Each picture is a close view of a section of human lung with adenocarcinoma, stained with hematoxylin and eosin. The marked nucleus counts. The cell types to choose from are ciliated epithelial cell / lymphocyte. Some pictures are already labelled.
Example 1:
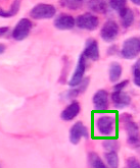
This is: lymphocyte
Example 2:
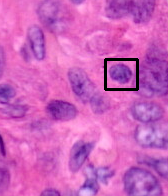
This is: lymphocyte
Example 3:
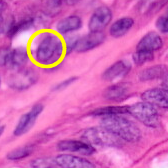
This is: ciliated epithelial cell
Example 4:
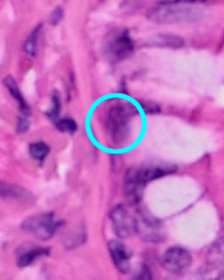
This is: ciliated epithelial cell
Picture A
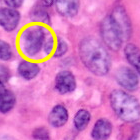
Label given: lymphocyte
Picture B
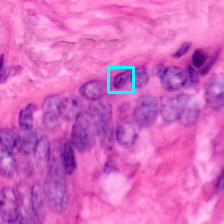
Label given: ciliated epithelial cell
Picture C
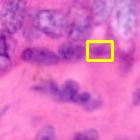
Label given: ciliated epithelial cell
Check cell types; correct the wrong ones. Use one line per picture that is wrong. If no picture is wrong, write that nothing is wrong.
All correct.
